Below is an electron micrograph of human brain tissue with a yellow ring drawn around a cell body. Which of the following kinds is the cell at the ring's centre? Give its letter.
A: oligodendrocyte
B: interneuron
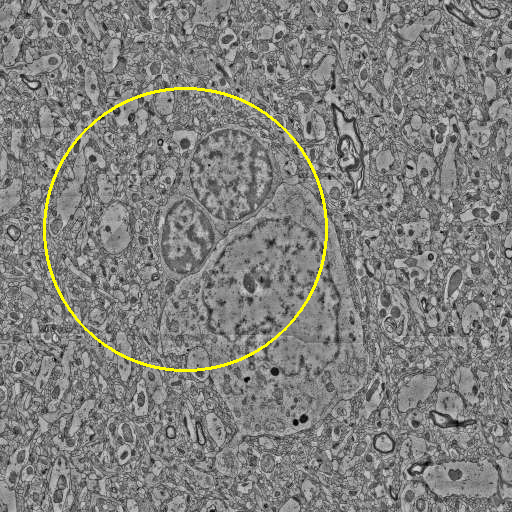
A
